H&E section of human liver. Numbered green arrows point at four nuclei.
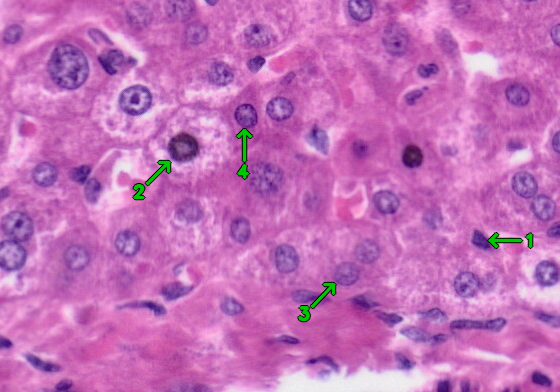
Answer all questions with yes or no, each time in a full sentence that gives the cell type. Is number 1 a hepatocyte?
No, cell 1 is classified as a fibroblast or stellate cell rather than a hepatocyte.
